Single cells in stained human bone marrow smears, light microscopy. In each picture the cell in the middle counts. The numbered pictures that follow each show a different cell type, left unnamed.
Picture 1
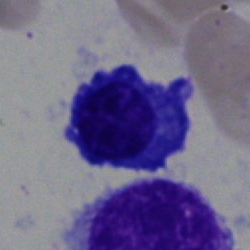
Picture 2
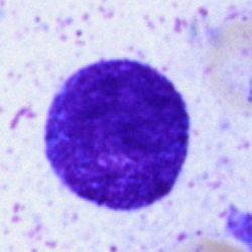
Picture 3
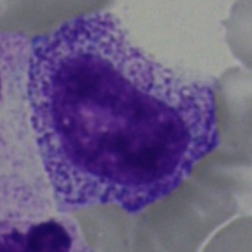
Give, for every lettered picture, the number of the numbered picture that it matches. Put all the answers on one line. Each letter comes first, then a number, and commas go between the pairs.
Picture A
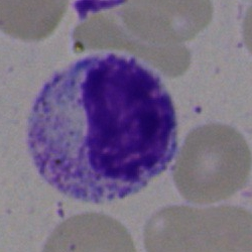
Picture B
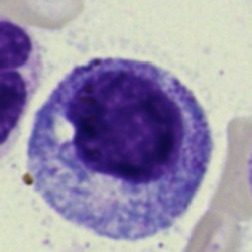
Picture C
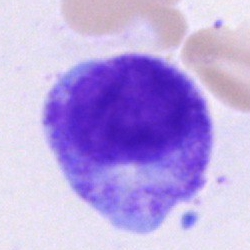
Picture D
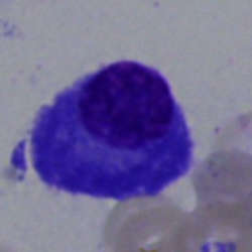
A 3, B 3, C 2, D 1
